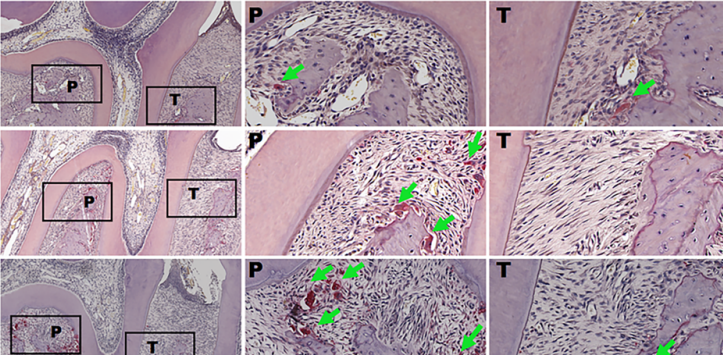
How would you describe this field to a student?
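Sections show pale pink hard tissue with a band of densely packed, spindle-shaped cells with dark elongated nuclei lying between the hard tissue surfaces. Large red-stained osteoclasts, marked by green arrows, sit against the bone surface.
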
